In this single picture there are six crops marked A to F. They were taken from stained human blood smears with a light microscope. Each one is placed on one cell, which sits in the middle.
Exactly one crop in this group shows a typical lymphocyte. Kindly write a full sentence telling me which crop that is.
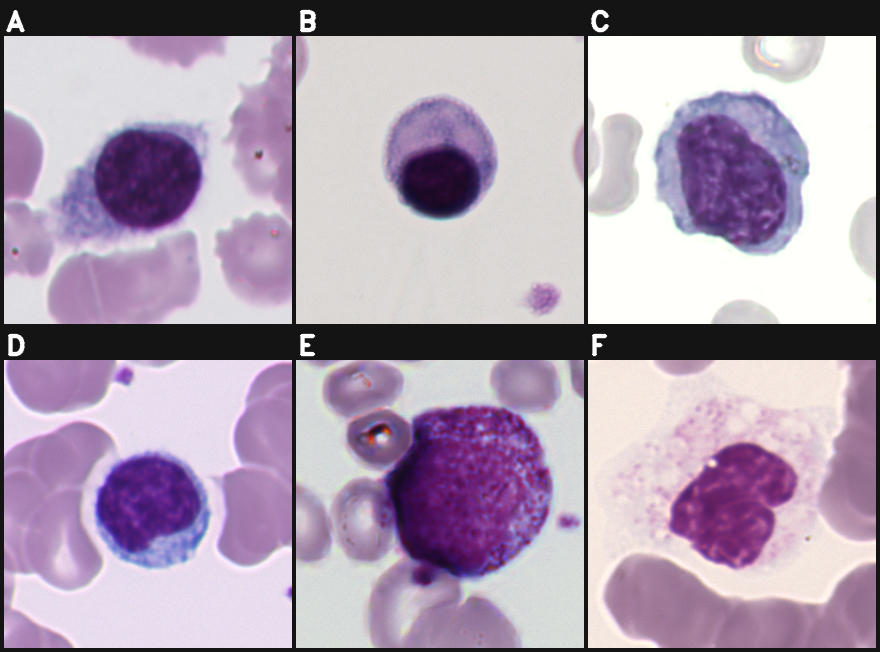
Crop D, and no other, is the one that shows a typical lymphocyte.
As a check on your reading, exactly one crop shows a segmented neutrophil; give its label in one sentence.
Identified crop: F, the one that shows a segmented neutrophil.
